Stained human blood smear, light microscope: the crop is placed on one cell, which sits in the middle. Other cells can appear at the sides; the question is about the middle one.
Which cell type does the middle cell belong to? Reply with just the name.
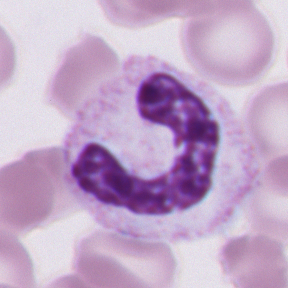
segmented neutrophil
